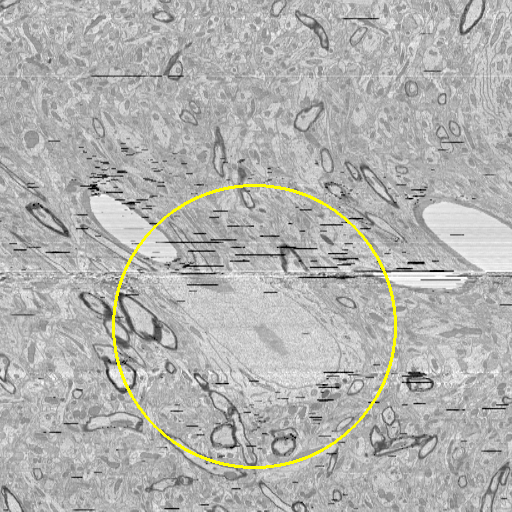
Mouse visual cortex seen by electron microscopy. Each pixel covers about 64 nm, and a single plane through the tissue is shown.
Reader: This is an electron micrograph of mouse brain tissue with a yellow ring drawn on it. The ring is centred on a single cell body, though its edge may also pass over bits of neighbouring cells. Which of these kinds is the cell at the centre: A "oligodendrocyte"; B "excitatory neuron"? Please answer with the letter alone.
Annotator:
B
